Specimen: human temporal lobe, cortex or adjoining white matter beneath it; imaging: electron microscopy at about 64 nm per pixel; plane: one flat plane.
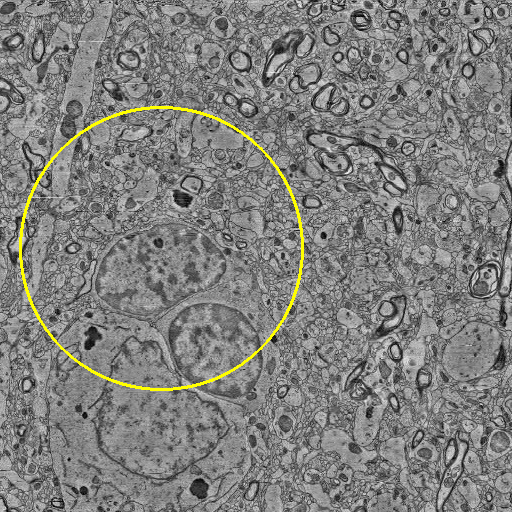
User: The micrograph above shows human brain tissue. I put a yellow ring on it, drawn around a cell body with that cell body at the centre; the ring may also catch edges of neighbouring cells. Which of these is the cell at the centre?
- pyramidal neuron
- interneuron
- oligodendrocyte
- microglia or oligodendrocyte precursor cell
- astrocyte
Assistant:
oligodendrocyte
